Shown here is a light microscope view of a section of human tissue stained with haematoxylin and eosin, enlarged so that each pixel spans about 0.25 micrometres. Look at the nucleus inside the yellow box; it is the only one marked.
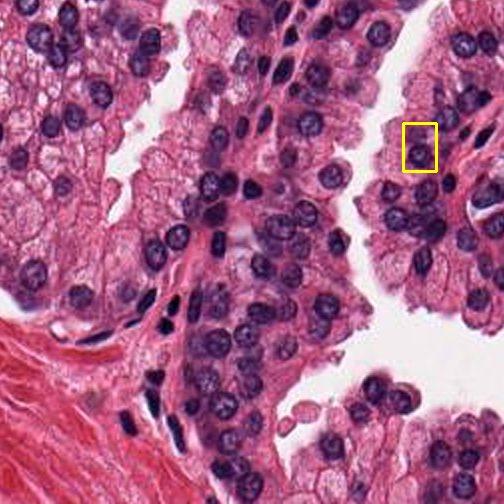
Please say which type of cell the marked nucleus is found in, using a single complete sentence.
It is to a prostate gland luminal cell that the marked nucleus belongs.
